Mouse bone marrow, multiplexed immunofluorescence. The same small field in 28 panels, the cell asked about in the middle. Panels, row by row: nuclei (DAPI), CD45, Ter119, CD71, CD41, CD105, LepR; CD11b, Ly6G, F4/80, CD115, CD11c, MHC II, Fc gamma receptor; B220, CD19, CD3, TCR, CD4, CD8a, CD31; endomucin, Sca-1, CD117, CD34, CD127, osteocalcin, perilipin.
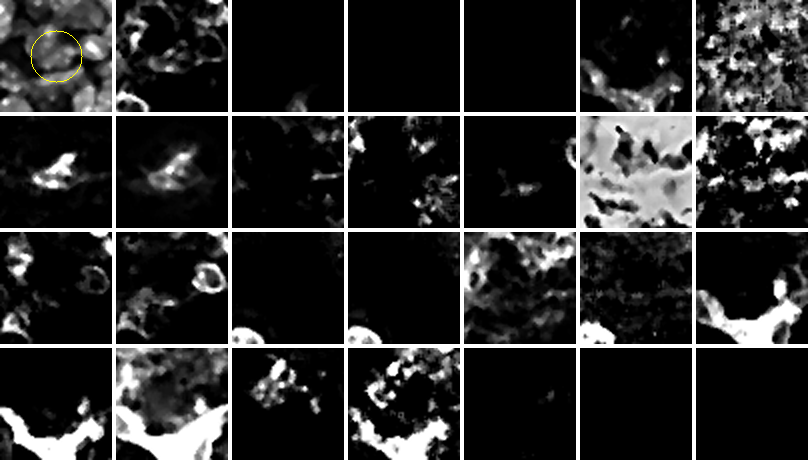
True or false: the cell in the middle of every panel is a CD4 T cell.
False; it is a neutrophil.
